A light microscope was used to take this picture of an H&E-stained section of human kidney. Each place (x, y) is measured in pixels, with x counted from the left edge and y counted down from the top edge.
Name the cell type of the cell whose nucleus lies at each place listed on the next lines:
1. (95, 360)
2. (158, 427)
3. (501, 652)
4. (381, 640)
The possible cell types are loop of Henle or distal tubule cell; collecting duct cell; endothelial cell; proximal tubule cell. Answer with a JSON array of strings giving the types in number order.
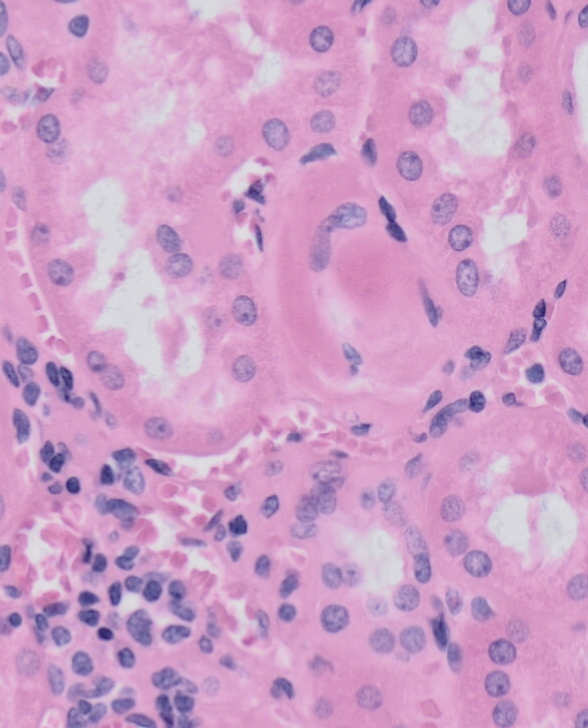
["proximal tubule cell", "proximal tubule cell", "proximal tubule cell", "collecting duct cell"]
